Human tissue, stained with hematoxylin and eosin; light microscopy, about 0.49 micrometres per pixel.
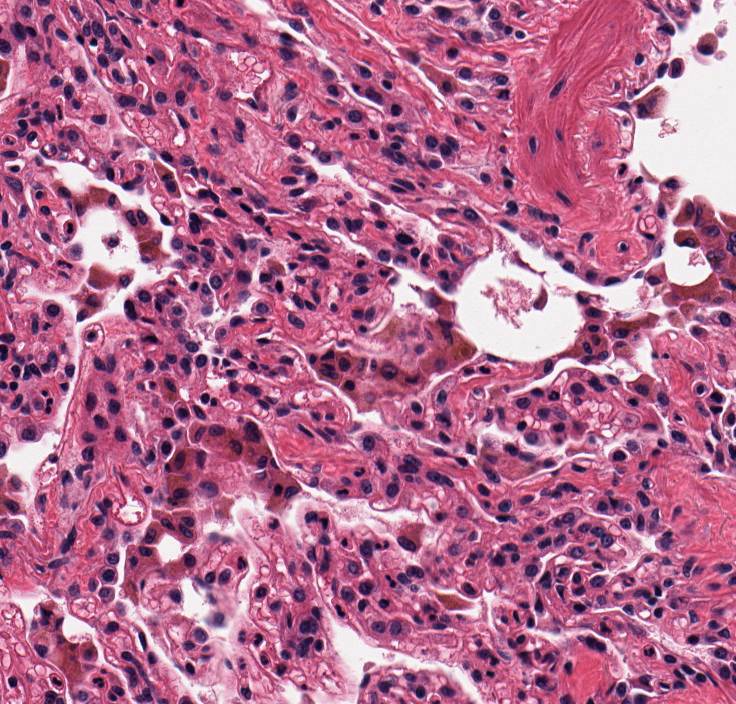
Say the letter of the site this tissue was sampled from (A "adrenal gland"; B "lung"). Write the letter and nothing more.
B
